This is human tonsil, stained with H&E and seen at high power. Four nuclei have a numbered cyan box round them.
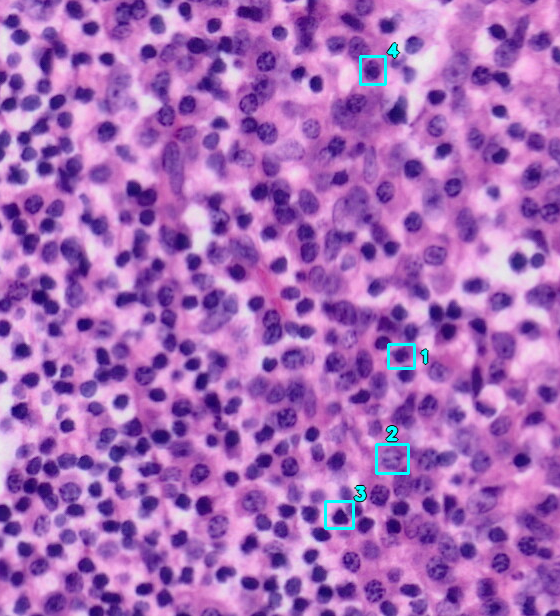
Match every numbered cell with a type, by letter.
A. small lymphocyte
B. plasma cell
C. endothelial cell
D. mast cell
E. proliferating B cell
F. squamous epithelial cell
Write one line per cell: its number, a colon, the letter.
1: B
2: B
3: A
4: B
